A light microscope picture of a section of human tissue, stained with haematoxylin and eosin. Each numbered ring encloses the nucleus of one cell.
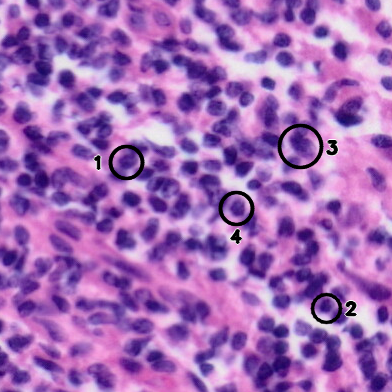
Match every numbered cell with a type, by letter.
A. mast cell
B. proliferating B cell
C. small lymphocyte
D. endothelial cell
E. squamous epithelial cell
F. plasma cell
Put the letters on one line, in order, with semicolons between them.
C; C; B; C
